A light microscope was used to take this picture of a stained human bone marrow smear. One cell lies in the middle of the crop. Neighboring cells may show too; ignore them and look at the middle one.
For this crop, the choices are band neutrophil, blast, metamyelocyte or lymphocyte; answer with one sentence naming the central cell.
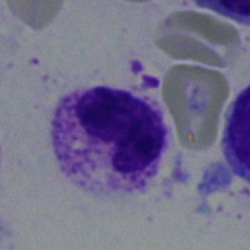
The centrally located cell in the crop is a band neutrophil.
